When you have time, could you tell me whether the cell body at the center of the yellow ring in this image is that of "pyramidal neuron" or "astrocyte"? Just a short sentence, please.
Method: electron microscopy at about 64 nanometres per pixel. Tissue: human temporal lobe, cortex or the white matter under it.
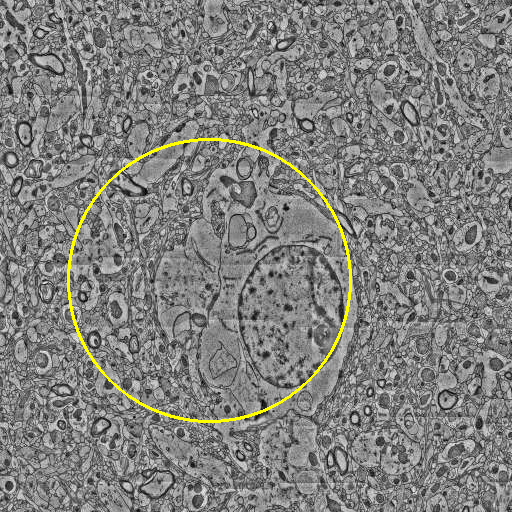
The cell body at the center of the ring is that of an astrocyte.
